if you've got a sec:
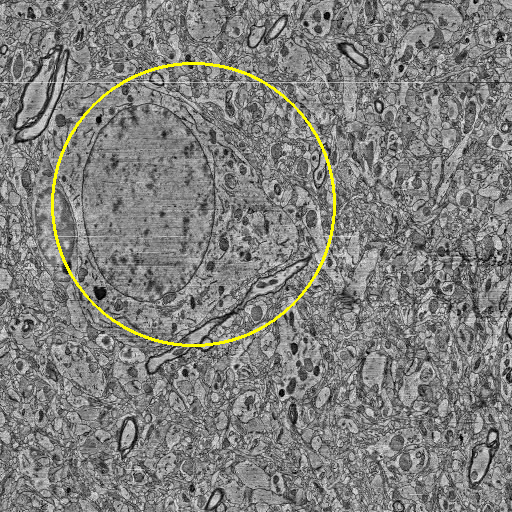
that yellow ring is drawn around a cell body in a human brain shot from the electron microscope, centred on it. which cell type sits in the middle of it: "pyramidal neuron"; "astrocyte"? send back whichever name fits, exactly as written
pyramidal neuron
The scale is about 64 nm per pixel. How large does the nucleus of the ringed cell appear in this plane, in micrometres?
In this plane the nucleus measures about 13 by 9 micrometres and is clearly longer than it is wide.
